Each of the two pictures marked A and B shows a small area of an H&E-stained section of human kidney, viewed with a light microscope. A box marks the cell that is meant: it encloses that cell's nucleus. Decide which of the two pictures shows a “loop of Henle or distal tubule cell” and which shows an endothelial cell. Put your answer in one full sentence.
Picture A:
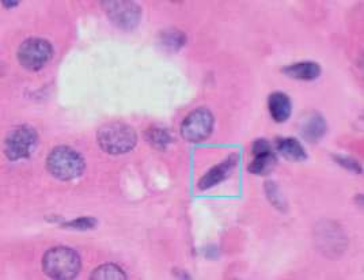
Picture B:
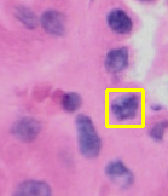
The cell in picture A is an endothelial cell, and the one in picture B is a “loop of Henle or distal tubule cell”.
